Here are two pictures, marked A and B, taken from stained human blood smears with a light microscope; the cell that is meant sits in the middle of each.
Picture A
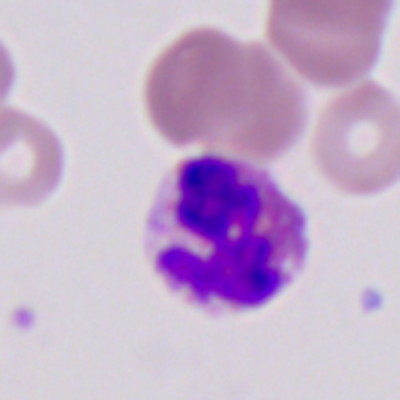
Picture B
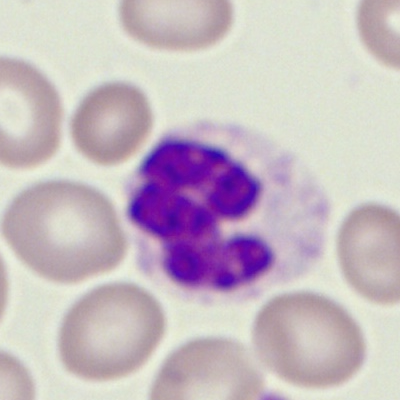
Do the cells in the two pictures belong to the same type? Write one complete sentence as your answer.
No, the types are not the same, since picture A shows an eosinophil and picture B a segmented neutrophil.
